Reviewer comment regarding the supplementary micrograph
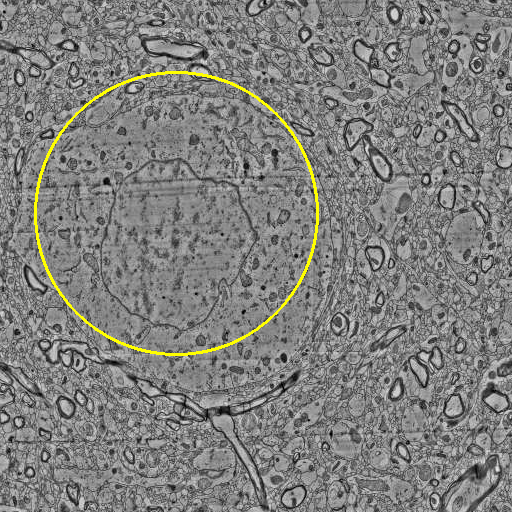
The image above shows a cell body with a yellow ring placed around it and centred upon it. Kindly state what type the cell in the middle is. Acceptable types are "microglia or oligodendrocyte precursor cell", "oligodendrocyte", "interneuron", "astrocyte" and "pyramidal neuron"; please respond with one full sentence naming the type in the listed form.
In the image above, the cell on which the yellow ring is centred is a pyramidal neuron.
